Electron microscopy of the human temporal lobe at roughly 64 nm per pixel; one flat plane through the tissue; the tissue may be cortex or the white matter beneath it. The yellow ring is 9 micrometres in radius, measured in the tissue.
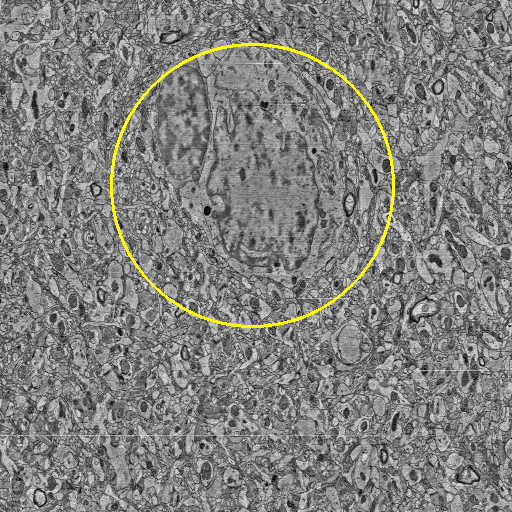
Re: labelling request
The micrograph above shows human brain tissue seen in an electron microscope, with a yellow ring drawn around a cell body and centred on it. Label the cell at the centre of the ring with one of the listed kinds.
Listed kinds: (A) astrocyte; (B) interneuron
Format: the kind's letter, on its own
B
